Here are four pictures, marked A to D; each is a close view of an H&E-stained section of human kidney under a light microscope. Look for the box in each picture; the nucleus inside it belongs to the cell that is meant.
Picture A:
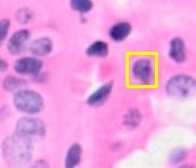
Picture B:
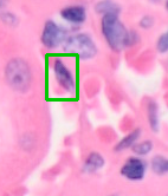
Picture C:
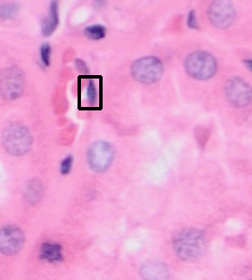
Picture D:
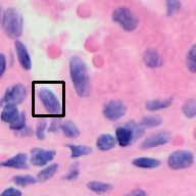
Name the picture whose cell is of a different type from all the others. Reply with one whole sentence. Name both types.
The others show endothelial cells, but picture A shows a “loop of Henle or distal tubule cell”.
